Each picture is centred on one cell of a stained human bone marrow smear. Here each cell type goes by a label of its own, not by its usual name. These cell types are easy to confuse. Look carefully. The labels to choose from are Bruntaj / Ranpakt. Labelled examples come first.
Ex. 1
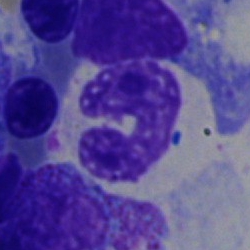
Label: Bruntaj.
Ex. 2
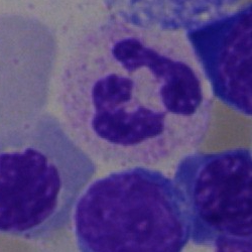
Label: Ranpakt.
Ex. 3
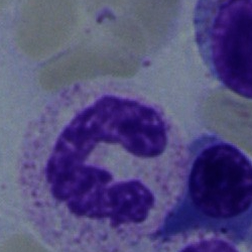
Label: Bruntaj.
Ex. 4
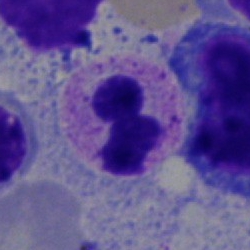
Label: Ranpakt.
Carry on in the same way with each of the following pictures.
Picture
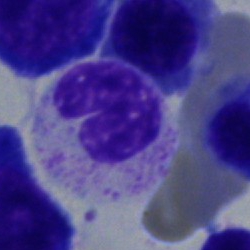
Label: Bruntaj.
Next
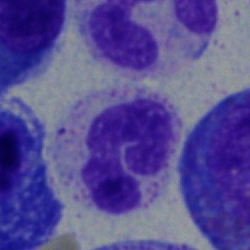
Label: Ranpakt.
